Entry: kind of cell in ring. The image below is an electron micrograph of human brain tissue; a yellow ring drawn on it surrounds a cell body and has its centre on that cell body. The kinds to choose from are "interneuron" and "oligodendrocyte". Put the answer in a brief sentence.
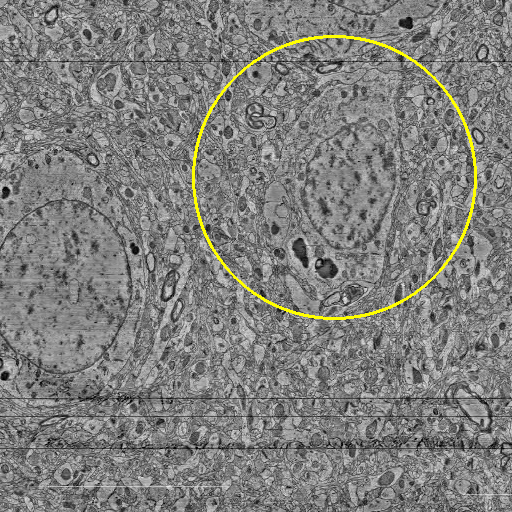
The ring has been drawn around an interneuron.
